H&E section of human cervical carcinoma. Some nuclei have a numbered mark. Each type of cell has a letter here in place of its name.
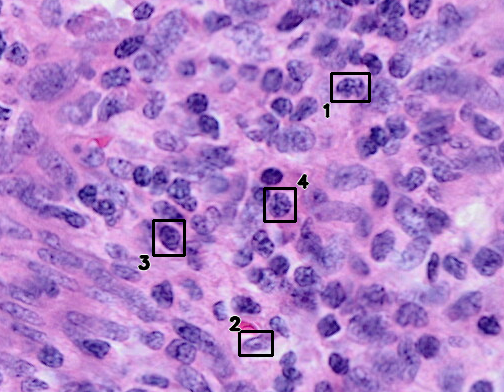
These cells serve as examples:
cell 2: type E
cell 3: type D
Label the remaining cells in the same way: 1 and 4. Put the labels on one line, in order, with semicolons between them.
type D; type D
